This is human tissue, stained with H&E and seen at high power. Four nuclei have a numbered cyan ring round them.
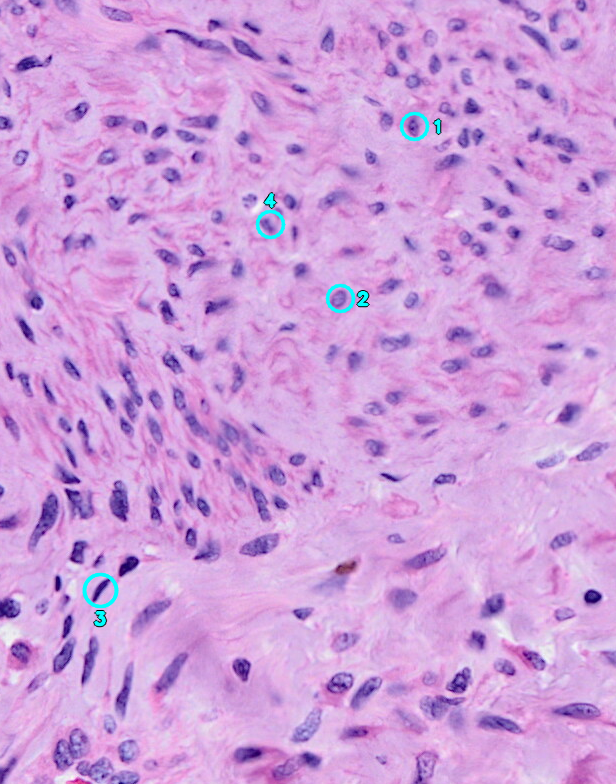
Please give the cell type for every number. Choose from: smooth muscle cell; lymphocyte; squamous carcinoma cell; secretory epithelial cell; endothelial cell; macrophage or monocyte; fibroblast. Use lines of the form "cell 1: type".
cell 1: smooth muscle cell
cell 2: smooth muscle cell
cell 3: fibroblast
cell 4: smooth muscle cell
